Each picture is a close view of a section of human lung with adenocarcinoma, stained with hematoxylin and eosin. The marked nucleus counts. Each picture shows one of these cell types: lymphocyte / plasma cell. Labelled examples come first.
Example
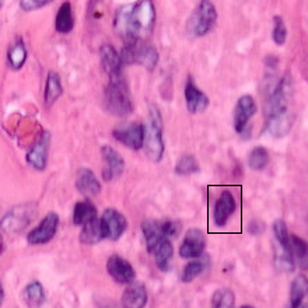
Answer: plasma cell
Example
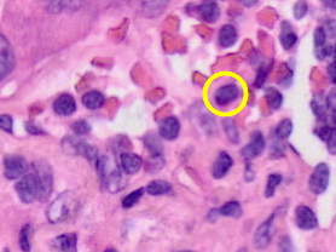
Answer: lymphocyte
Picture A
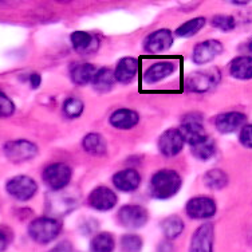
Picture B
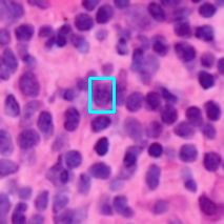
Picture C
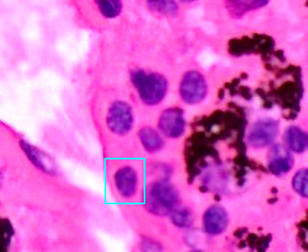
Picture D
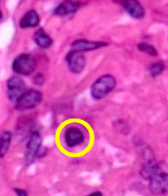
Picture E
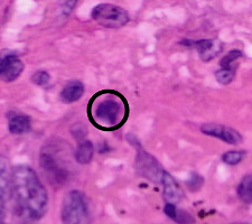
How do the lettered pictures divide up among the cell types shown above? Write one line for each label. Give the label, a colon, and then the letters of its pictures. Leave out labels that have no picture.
lymphocyte: A, B, C
plasma cell: D, E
